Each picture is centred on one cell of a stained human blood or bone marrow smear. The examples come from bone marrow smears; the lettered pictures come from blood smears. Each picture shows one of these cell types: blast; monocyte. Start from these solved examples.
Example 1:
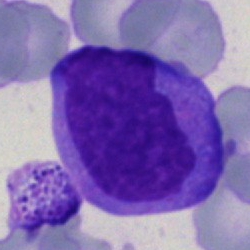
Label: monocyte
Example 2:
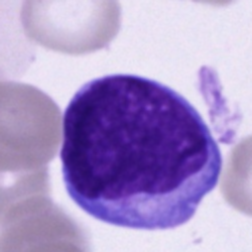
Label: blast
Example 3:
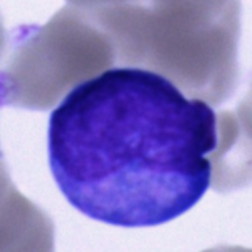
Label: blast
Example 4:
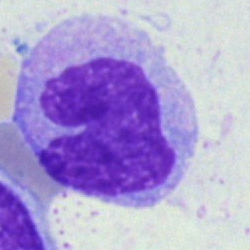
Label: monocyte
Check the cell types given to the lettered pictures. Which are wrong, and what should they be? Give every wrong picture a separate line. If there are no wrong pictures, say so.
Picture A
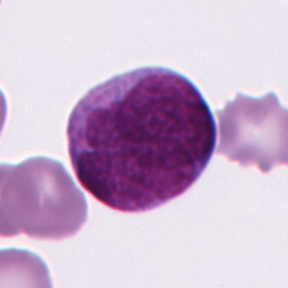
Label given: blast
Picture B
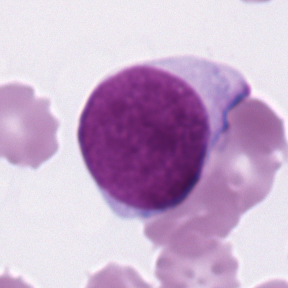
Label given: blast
Every label is right.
